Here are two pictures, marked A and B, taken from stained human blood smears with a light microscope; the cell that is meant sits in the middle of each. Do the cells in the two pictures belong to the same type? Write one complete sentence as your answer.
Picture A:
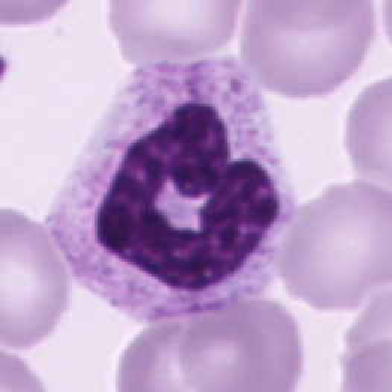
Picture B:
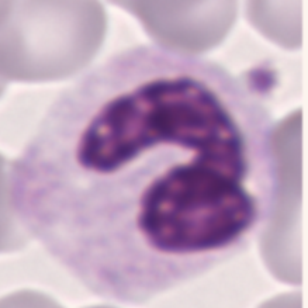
Yes, they are the same type: both are segmented neutrophils.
